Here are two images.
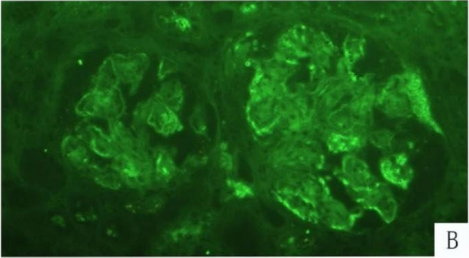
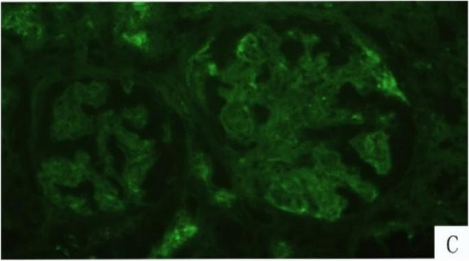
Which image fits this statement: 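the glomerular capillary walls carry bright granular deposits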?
The first image.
